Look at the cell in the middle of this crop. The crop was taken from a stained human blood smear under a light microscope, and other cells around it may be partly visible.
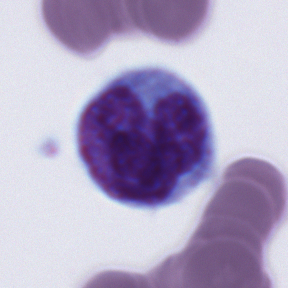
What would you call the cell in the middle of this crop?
monocyte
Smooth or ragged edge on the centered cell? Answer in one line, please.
Edge check done: smooth outline, no projections present.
